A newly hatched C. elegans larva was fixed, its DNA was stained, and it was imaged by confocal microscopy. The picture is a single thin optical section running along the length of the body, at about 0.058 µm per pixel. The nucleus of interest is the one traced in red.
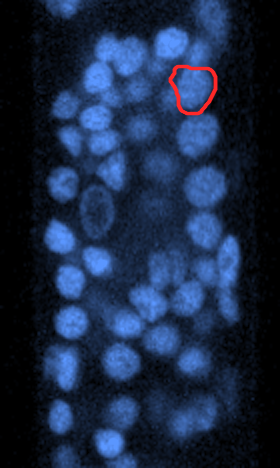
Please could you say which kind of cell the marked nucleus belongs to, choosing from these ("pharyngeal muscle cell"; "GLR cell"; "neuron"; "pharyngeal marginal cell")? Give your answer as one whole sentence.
The marked nucleus is that of a neuron.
